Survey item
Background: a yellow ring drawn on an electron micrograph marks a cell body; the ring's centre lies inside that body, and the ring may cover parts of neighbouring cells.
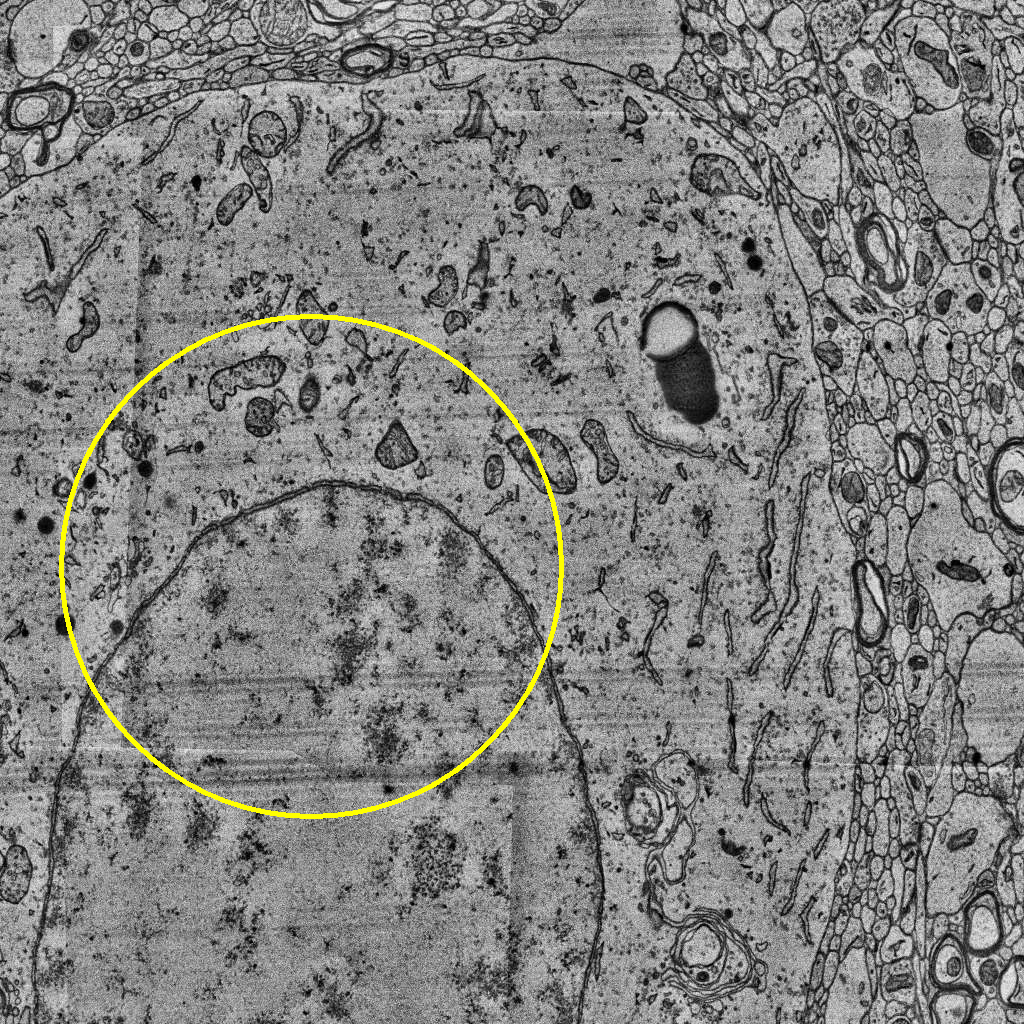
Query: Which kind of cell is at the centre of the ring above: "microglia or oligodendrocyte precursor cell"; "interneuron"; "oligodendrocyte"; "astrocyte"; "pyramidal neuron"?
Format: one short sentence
The cell in the middle of the ring is a pyramidal neuron.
